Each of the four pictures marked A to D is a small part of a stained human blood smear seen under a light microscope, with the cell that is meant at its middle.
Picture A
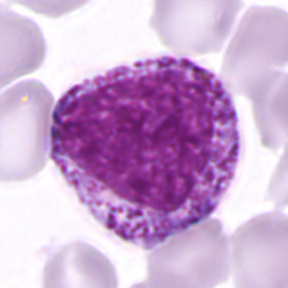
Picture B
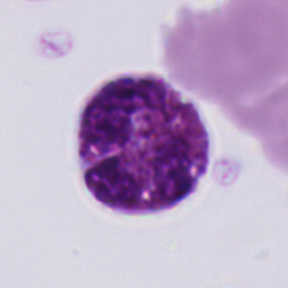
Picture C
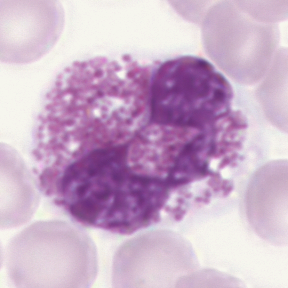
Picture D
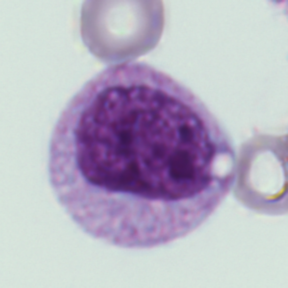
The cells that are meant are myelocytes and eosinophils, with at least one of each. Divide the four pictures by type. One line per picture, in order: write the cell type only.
myelocyte
eosinophil
eosinophil
myelocyte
